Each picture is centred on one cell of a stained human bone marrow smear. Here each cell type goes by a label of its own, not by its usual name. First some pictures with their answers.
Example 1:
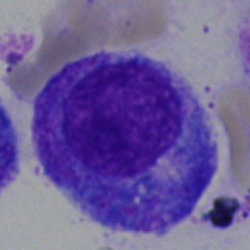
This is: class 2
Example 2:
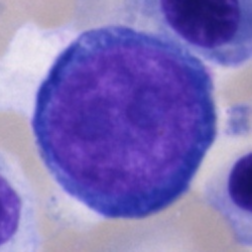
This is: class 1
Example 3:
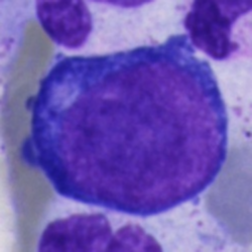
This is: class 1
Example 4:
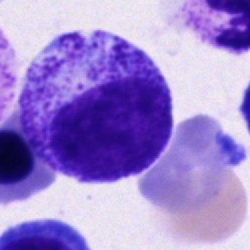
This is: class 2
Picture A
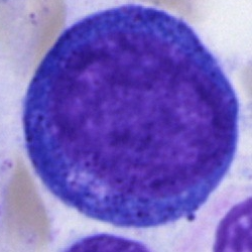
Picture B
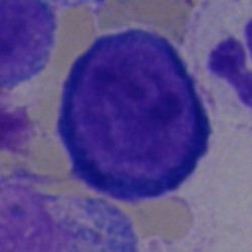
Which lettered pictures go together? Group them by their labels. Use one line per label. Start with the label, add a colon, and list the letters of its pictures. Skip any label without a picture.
class 1: A, B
